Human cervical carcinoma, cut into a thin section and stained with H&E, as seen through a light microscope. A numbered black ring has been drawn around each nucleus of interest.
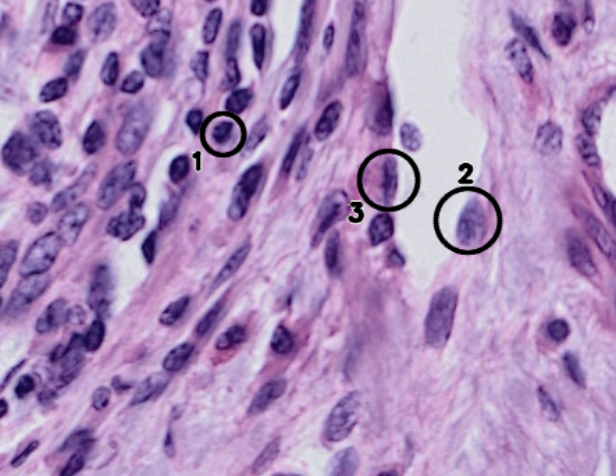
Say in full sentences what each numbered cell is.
Cell 1 is a lymphocyte. Cells 2 and 3 are endothelial cells.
